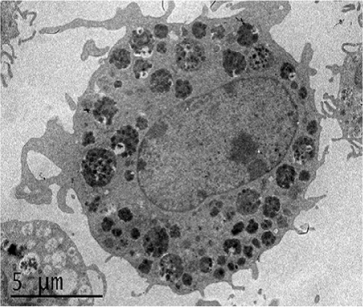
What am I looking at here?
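A single rounded cell is cut through its middle: a large oval nucleus with finely dispersed chromatin and a thin rim of denser chromatin sits centrally, surrounded by a broad band of cytoplasm crowded with round, membrane-bound granules. The granules vary in size and content, some uniformly dark, others holding speckled or particulate dense material with paler spaces. The cell surface is thrown into thin folds and short processes, and parts of neighbouring cells appear at the edges.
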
